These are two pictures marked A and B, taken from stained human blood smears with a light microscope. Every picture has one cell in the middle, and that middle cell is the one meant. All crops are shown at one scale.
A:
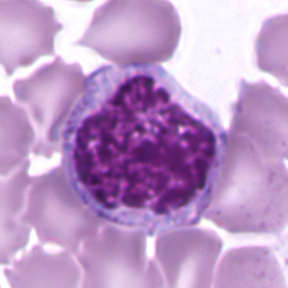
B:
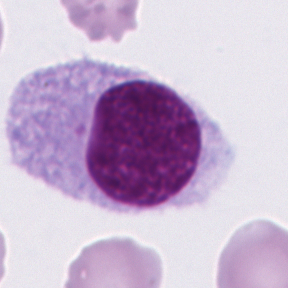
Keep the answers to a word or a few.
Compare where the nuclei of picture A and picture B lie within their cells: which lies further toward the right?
B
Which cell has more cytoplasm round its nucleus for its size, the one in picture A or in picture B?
B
